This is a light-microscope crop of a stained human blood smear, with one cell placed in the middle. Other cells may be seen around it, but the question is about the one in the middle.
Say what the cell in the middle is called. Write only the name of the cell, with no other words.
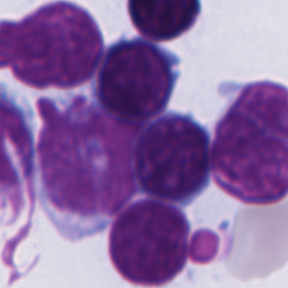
myeloblast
